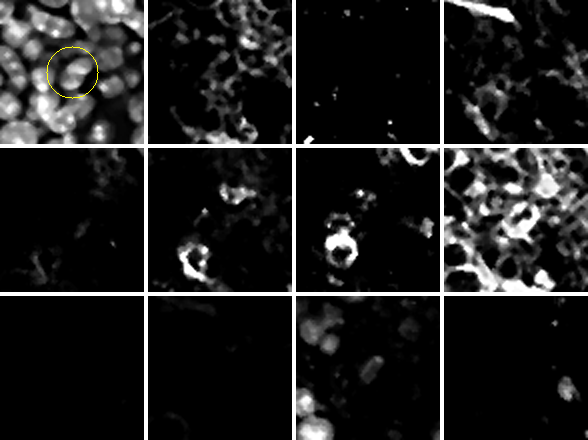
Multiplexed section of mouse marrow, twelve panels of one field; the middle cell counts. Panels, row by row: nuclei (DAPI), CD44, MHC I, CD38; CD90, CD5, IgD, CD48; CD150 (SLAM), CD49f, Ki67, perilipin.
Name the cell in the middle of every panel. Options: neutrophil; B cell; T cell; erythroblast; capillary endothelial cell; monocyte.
monocyte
